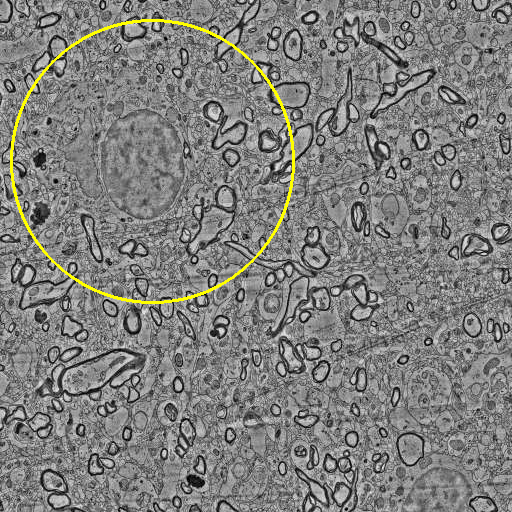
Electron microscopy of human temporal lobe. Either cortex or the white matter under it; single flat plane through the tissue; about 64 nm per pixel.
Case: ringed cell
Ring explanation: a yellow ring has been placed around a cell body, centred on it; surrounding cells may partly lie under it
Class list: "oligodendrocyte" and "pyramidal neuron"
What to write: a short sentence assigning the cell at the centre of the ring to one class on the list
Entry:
The cell at the ring's centre is an oligodendrocyte.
